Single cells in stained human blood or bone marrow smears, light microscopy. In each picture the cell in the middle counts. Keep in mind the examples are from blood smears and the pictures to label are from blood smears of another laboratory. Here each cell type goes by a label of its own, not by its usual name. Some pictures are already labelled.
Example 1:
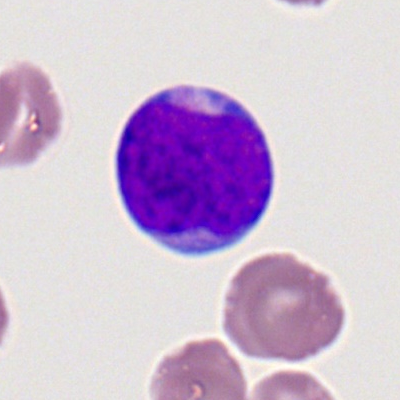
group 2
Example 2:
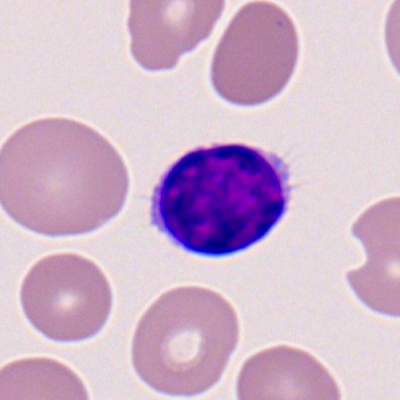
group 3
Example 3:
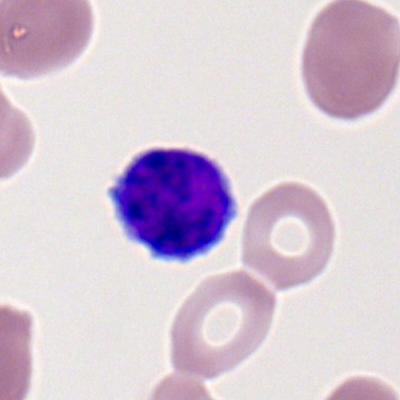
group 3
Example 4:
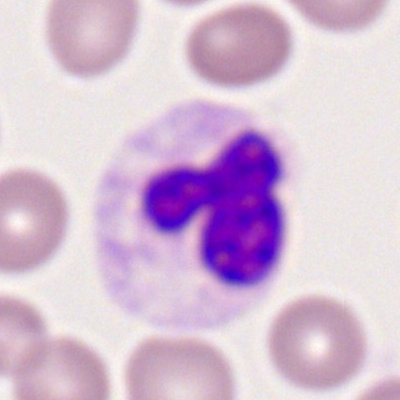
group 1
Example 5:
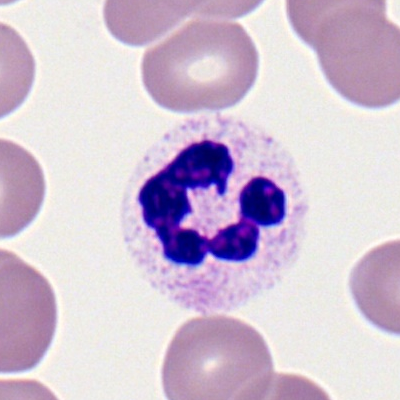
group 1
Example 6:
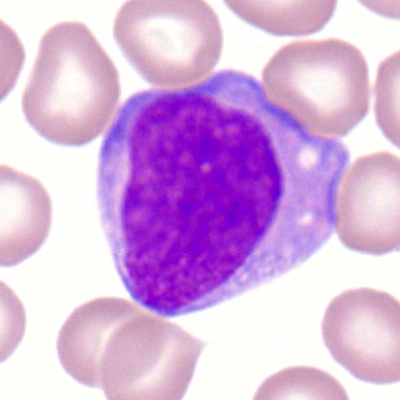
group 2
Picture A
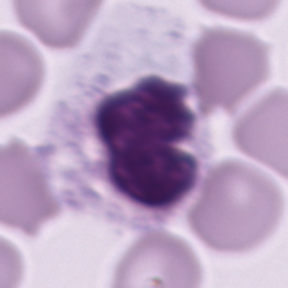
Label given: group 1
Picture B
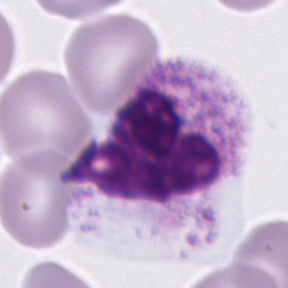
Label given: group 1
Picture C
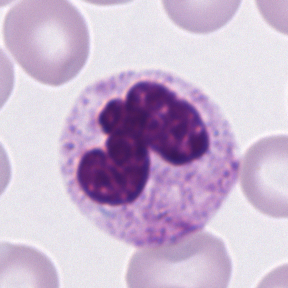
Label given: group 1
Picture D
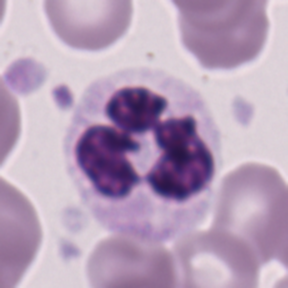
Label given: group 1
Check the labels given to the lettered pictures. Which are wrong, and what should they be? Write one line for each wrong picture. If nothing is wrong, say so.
All labels are correct.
